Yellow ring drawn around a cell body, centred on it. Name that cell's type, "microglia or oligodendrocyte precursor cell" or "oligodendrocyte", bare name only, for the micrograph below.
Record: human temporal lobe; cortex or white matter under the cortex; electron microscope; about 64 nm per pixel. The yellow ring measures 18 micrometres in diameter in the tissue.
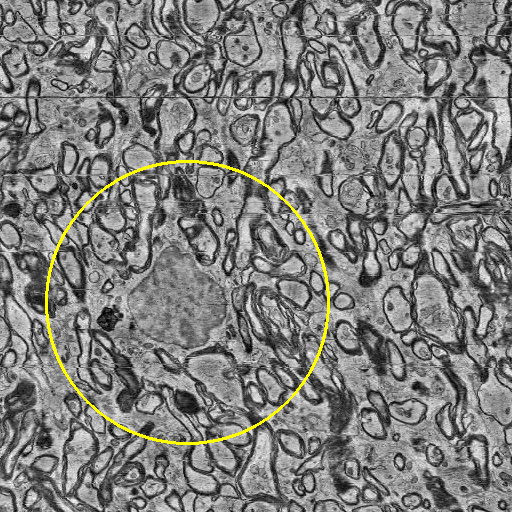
oligodendrocyte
